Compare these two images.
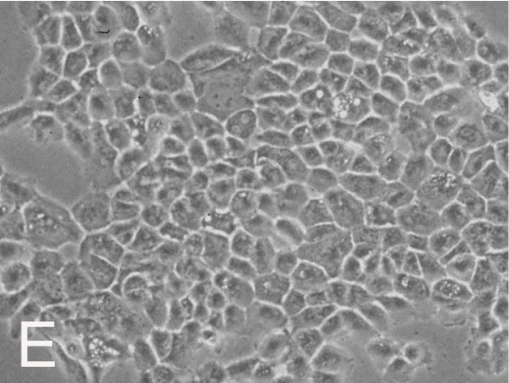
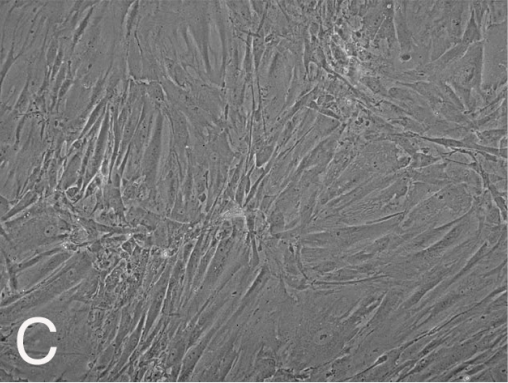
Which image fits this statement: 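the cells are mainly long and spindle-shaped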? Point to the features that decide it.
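The second image. First image: tightly packed many-sided cells in a cobblestone sheet. Second image: long tapering cells in streaming bundles.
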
